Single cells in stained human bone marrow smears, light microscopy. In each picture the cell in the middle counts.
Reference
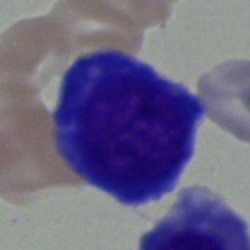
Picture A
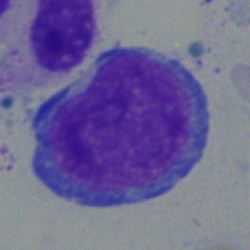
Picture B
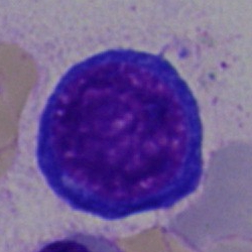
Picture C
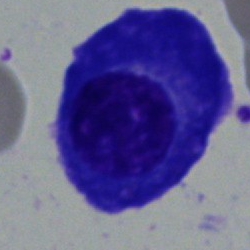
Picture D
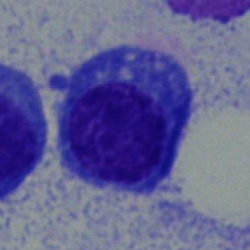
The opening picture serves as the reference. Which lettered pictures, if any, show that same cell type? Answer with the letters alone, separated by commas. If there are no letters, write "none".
A, B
